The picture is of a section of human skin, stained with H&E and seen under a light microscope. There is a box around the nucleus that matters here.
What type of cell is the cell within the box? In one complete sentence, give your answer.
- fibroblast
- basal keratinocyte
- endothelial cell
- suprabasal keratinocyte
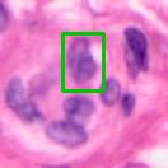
So far as cell type goes, the cell within the box is an endothelial cell.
